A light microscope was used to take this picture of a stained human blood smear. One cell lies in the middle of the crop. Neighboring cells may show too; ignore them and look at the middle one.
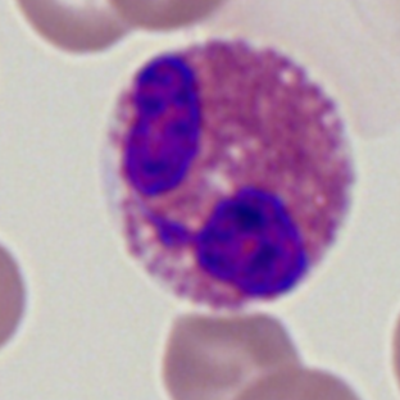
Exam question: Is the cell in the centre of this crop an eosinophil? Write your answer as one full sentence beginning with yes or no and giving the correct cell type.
Yes, the cell in the central position is an eosinophil.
